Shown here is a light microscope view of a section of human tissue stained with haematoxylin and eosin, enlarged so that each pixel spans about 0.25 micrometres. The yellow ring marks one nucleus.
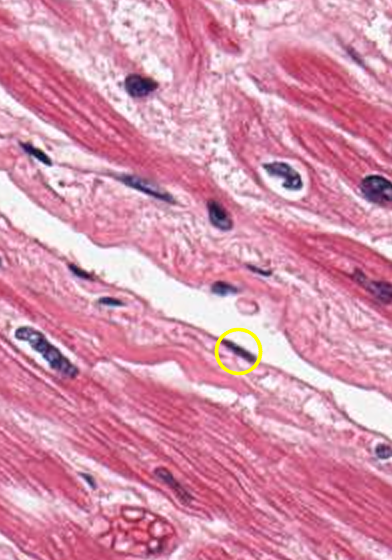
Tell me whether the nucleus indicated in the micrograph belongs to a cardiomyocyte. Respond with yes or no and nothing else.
no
